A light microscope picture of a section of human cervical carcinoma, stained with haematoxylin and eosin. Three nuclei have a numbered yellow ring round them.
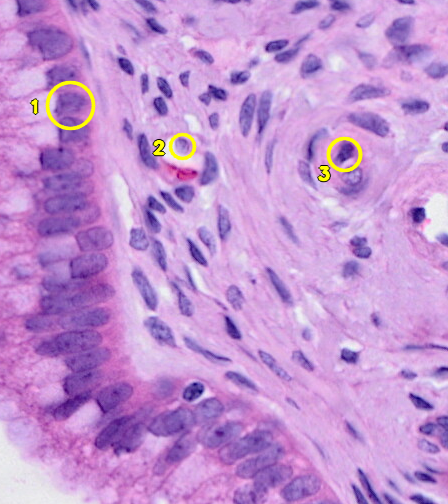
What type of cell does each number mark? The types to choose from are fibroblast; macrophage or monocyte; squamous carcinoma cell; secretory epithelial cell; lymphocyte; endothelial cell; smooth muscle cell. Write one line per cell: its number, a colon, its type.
1: secretory epithelial cell
2: endothelial cell
3: endothelial cell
